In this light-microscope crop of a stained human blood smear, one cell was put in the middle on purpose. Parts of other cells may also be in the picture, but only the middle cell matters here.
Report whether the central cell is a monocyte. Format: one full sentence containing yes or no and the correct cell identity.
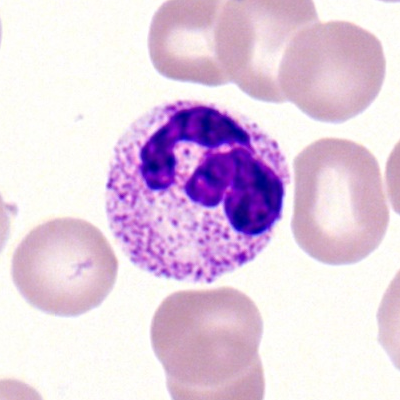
No, the central cell is properly termed a segmented neutrophil, not a monocyte.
